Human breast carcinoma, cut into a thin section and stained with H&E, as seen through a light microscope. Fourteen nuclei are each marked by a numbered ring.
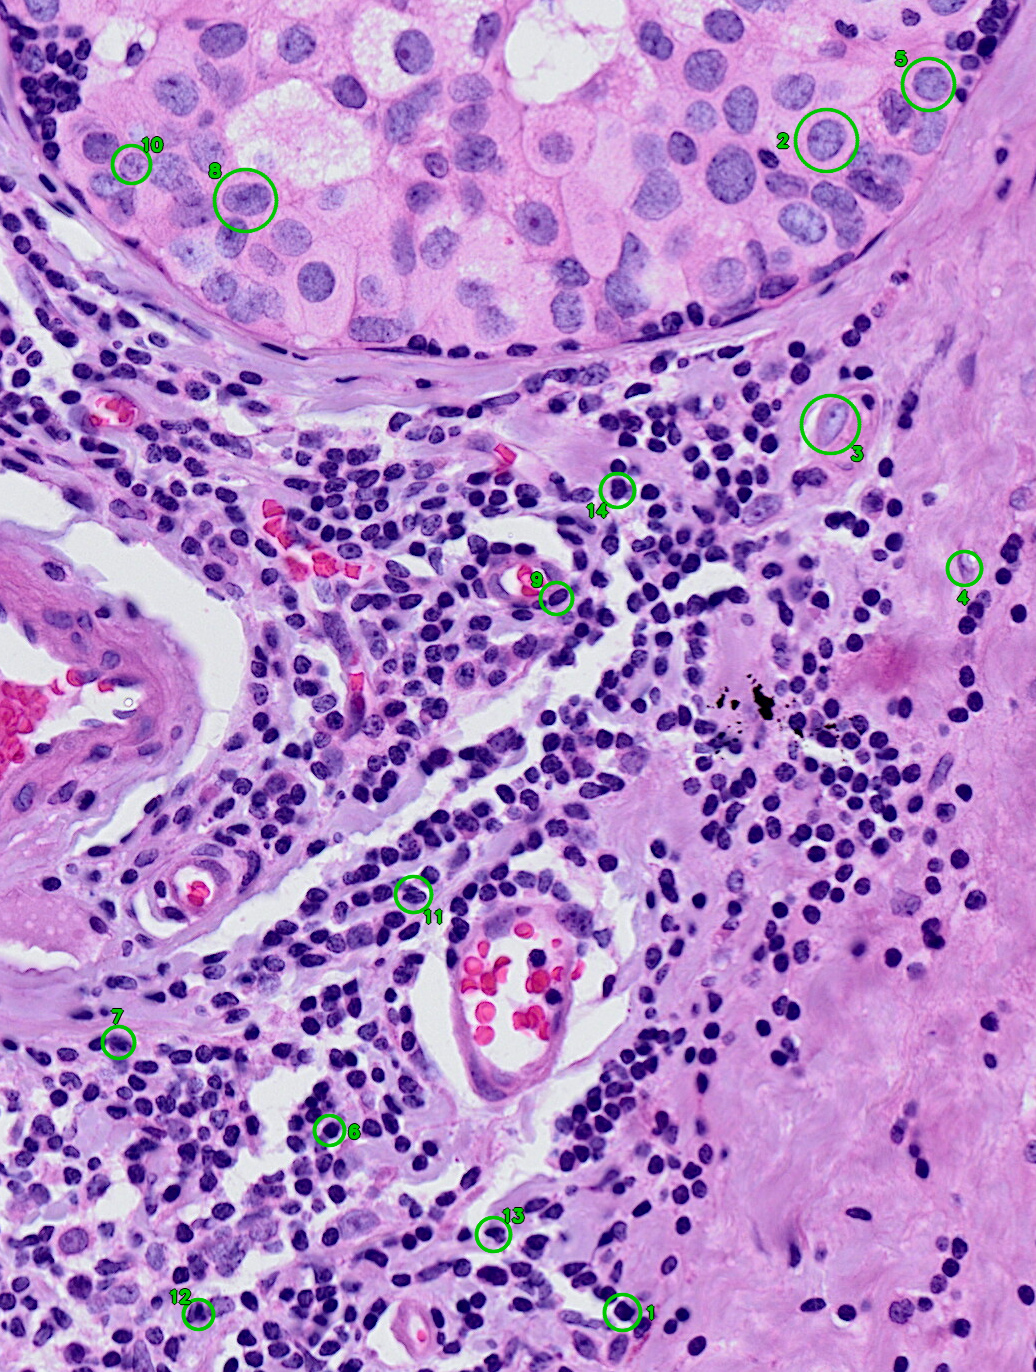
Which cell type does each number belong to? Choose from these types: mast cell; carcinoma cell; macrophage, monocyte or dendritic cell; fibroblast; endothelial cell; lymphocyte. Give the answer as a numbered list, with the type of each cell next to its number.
1. lymphocyte
2. carcinoma cell
3. endothelial cell
4. fibroblast
5. carcinoma cell
6. lymphocyte
7. lymphocyte
8. carcinoma cell
9. lymphocyte
10. carcinoma cell
11. lymphocyte
12. lymphocyte
13. lymphocyte
14. lymphocyte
